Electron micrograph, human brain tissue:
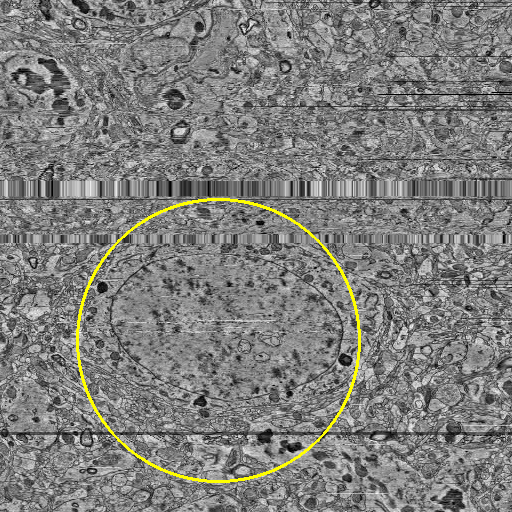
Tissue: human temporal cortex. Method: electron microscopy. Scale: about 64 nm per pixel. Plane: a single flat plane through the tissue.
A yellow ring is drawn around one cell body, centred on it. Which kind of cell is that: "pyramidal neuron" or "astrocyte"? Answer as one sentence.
It is a pyramidal neuron at the centre of the ring.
